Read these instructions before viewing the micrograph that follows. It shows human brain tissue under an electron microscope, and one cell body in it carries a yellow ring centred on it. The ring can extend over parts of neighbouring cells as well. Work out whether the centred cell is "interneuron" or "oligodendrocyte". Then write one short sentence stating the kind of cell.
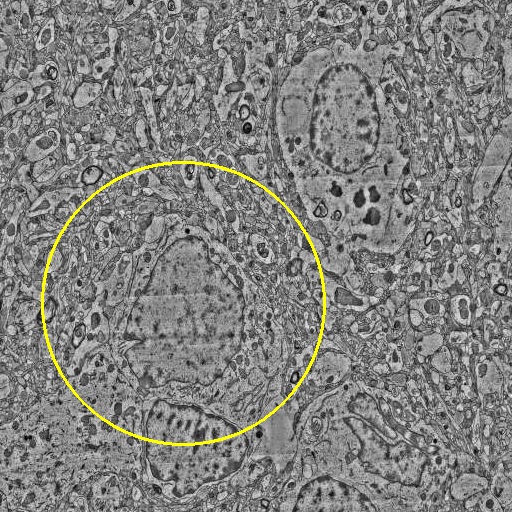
The ringed cell is an interneuron.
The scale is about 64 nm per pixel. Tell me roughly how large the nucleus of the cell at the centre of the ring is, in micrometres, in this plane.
Approximately 10 micrometres long and 7 micrometres wide, in this plane.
